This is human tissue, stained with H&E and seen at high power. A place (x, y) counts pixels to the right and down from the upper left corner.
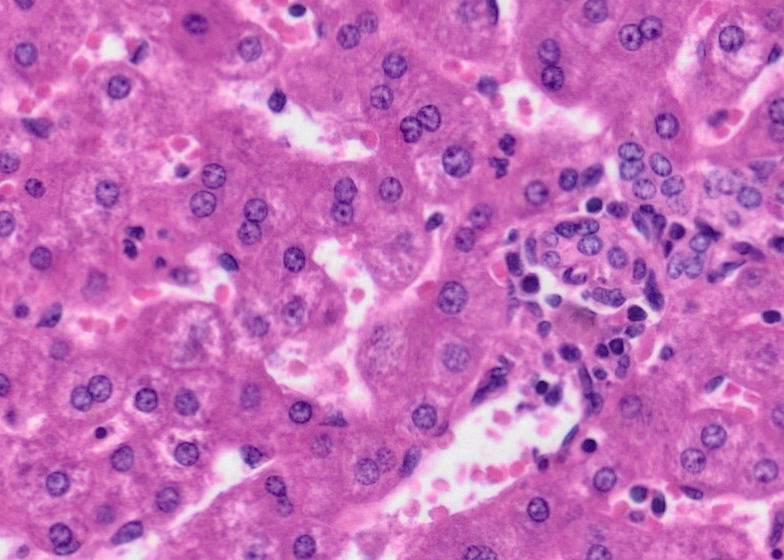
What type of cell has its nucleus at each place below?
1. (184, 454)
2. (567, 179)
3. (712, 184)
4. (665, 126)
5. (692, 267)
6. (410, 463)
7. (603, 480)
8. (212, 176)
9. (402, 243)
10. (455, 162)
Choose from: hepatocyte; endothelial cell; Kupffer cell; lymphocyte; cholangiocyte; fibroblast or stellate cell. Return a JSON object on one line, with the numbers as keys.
{"1": "hepatocyte", "2": "cholangiocyte", "3": "cholangiocyte", "4": "hepatocyte", "5": "cholangiocyte", "6": "fibroblast or stellate cell", "7": "hepatocyte", "8": "hepatocyte", "9": "hepatocyte", "10": "hepatocyte"}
